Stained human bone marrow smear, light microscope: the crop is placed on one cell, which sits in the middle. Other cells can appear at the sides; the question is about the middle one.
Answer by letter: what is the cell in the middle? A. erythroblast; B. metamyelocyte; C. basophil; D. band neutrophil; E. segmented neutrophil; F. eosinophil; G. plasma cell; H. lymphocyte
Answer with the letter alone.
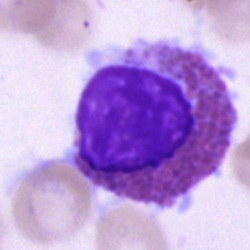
F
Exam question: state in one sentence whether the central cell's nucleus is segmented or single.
The nucleus is one compact mass, round, oval or kidney-shaped in outline.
